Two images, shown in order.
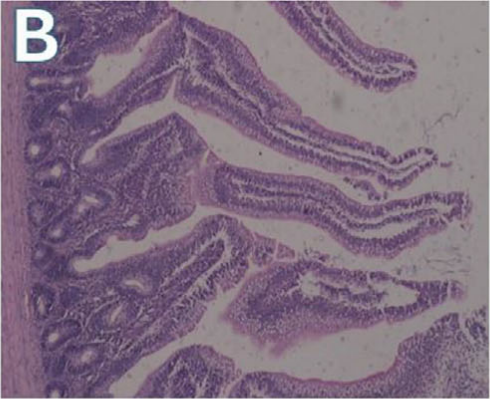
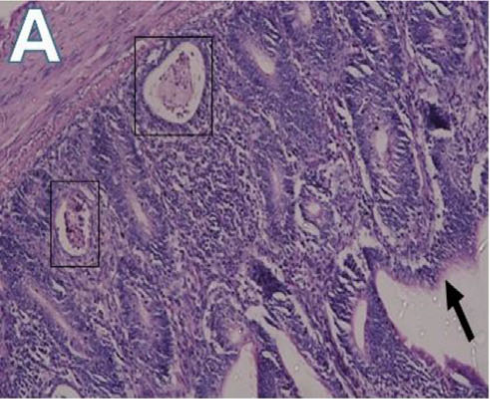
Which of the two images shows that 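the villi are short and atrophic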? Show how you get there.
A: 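First image: long slender villi extend far into the lumen.
Hence: the second image.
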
